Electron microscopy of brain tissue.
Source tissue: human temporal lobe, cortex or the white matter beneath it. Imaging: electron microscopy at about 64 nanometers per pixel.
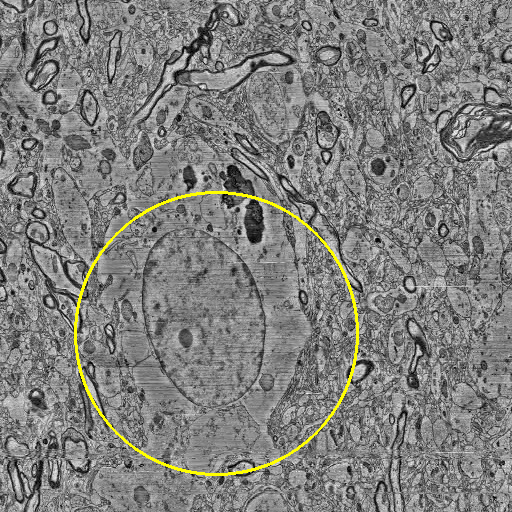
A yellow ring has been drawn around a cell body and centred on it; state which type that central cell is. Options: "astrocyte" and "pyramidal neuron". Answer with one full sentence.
The cell at the middle of the yellow ring is an astrocyte in this picture.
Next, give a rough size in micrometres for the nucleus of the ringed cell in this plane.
Clearly longer than it is wide in this plane, the nucleus measures roughly 12 by 8 micrometres.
